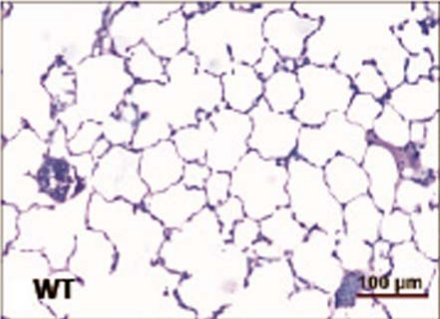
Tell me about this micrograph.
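This lung section shows normal lung architecture, with many small, fairly uniform alveoli separated by thin blue-stained septa. The septa carry scattered small dark nuclei. A few denser cell clusters sit at junctions of alveolar walls, and the airspaces are largely free of cells.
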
